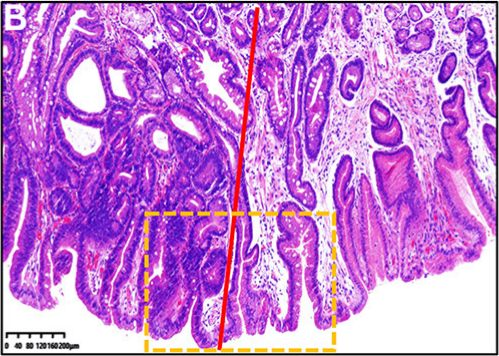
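Gastric mucosa stained with hematoxylin and eosin, showing glands on either side of a drawn line. The glands on the left are irregular, crowded and branching, some dilated into rounded spaces, and their lining stains dark purple. The glands on the right are more evenly spaced, elongated and paler pink, lined by tall columnar cells. The surface lies along the bottom edge.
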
